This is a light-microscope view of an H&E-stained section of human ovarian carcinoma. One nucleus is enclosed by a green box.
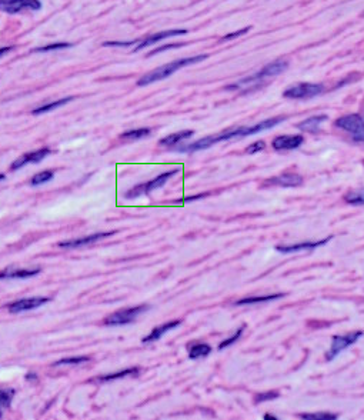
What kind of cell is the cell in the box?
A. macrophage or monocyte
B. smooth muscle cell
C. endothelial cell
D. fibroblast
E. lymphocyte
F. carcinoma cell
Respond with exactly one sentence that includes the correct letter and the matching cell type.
In short, option D: the cell in the box is a fibroblast.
